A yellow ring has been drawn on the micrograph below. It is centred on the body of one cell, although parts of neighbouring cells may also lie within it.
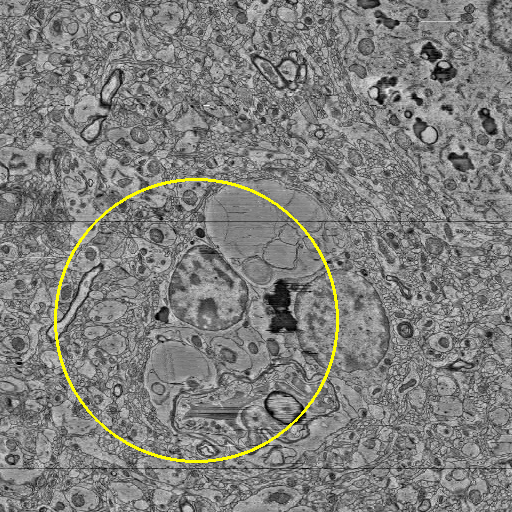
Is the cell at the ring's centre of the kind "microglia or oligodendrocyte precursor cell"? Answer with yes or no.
yes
